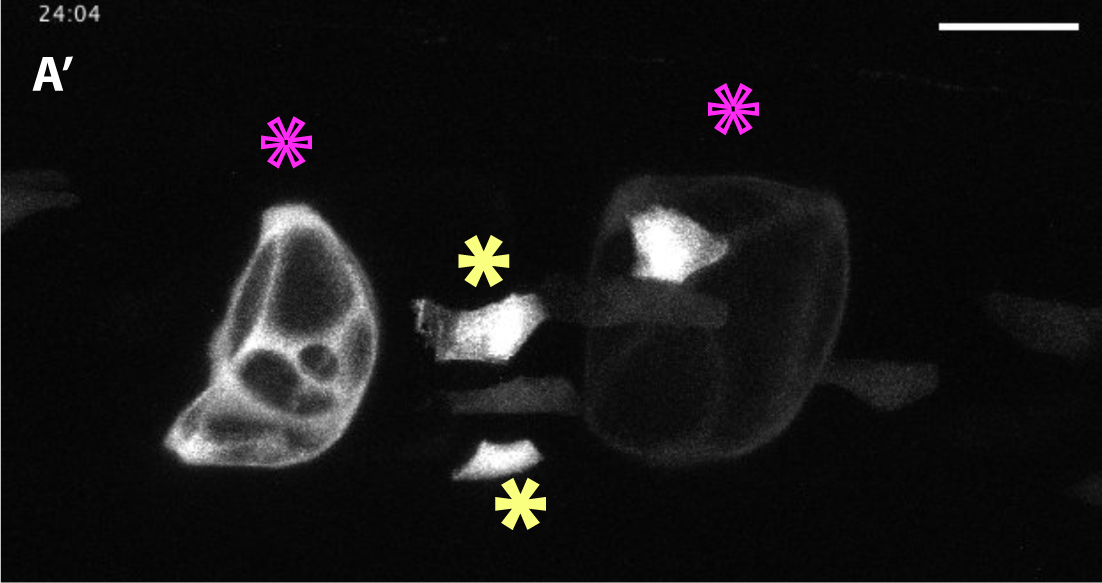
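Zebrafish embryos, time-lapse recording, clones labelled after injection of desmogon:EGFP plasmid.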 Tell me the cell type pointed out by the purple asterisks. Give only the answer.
Vacuolated cells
